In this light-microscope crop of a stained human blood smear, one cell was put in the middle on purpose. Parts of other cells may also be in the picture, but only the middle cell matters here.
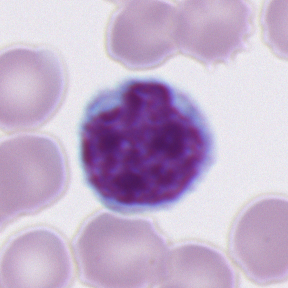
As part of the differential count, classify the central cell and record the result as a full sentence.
In the middle of this smear crop is a typical lymphocyte.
